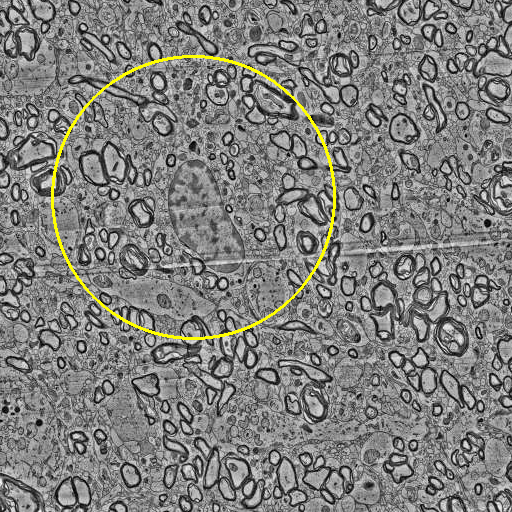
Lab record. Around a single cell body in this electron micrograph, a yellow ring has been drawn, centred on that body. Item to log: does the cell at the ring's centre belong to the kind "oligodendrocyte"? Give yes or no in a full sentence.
No, in the micrograph, the ringed cell at the centre belongs to a different kind.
